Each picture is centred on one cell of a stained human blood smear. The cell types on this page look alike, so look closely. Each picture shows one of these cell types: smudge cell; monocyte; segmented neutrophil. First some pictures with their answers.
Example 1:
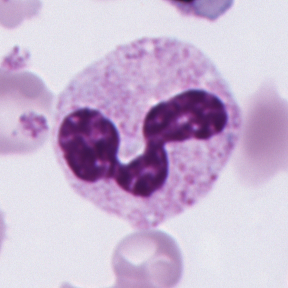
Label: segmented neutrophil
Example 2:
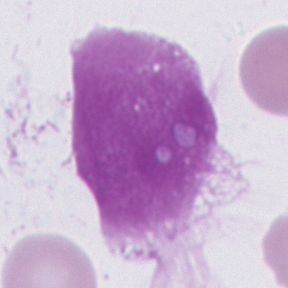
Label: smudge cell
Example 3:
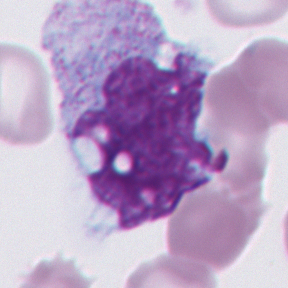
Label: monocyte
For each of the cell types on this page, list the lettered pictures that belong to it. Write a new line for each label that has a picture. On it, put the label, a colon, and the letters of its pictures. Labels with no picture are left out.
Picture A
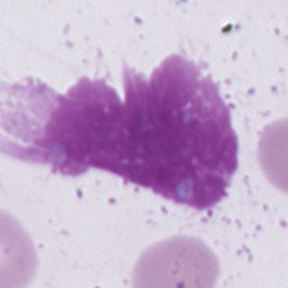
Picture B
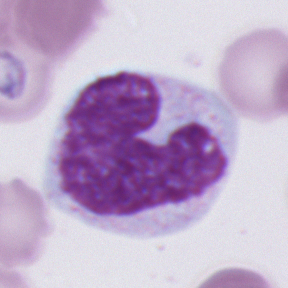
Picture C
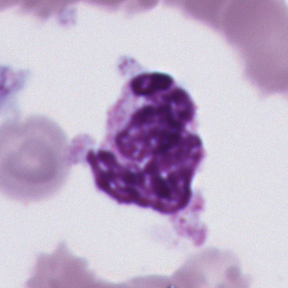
smudge cell: A
monocyte: B
segmented neutrophil: C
